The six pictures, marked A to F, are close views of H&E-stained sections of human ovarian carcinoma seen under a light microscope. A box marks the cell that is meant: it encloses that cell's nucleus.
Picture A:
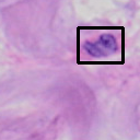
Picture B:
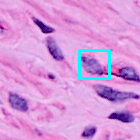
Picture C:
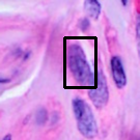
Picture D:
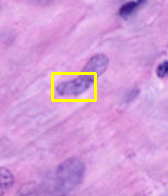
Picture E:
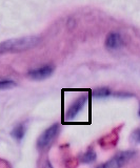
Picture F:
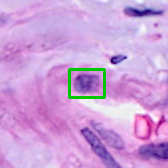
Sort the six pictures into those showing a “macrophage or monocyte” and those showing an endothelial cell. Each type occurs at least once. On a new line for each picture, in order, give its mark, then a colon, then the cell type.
A: macrophage or monocyte
B: endothelial cell
C: endothelial cell
D: macrophage or monocyte
E: endothelial cell
F: endothelial cell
